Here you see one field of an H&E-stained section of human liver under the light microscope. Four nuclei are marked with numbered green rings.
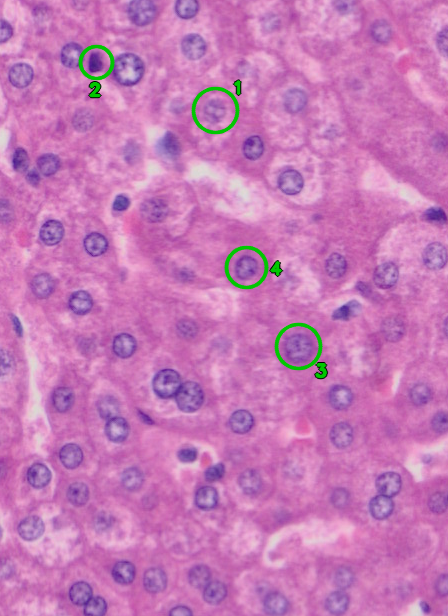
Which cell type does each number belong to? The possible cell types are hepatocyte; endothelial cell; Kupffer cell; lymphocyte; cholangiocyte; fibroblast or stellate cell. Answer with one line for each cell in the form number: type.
1: hepatocyte
2: fibroblast or stellate cell
3: hepatocyte
4: hepatocyte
